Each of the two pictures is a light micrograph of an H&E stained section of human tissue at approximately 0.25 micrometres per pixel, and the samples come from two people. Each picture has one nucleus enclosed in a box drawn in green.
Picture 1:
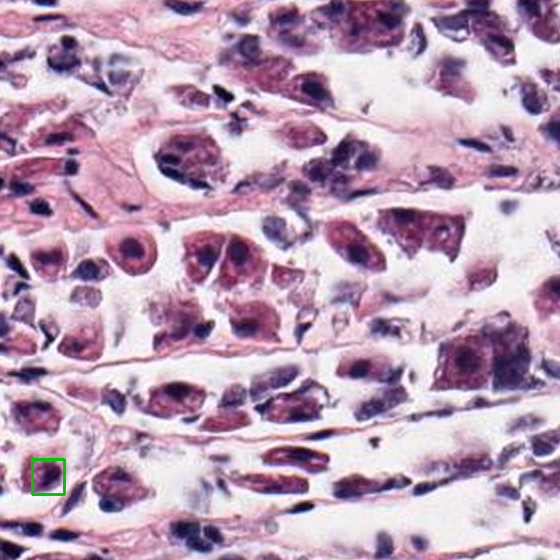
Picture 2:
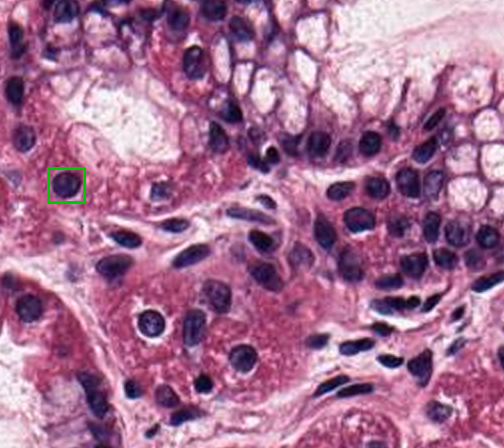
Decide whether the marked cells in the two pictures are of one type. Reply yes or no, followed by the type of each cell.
Yes, both are parietal cells.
